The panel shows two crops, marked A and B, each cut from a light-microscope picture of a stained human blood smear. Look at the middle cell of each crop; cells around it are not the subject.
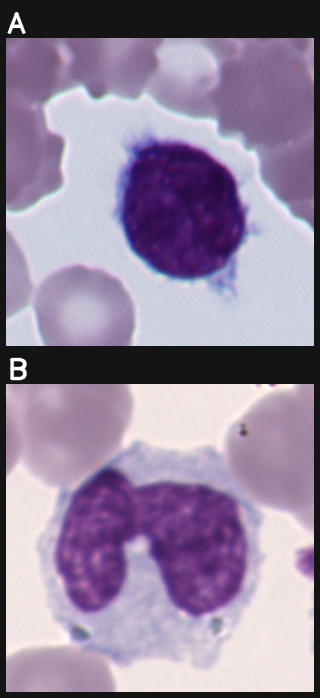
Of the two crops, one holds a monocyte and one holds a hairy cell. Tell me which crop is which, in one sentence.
Crop A is a hairy cell and crop B is a monocyte.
